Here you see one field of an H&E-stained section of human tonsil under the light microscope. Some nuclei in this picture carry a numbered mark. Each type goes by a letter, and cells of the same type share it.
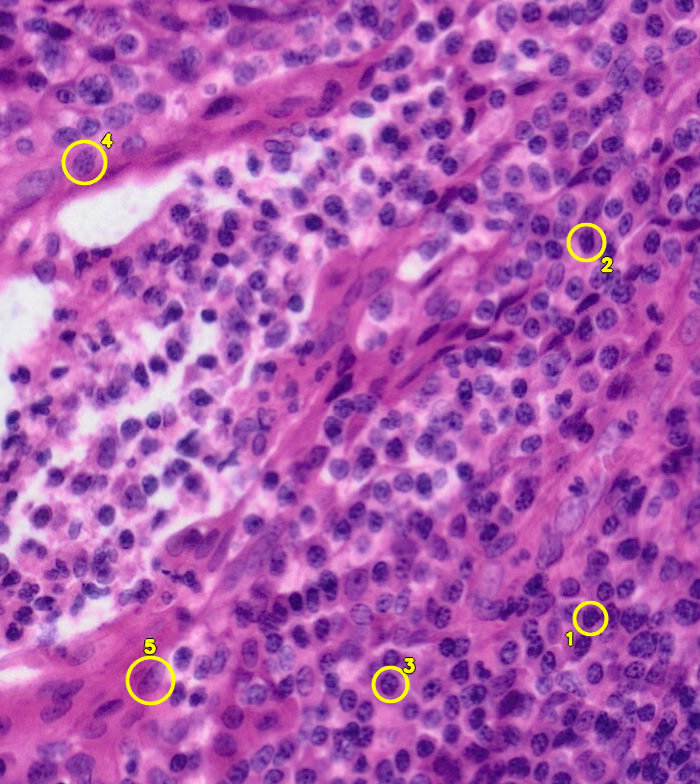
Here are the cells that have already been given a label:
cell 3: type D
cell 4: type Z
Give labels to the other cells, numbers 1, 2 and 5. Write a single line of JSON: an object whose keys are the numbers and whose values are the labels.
{"1": "type D", "2": "type D", "5": "type Z"}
